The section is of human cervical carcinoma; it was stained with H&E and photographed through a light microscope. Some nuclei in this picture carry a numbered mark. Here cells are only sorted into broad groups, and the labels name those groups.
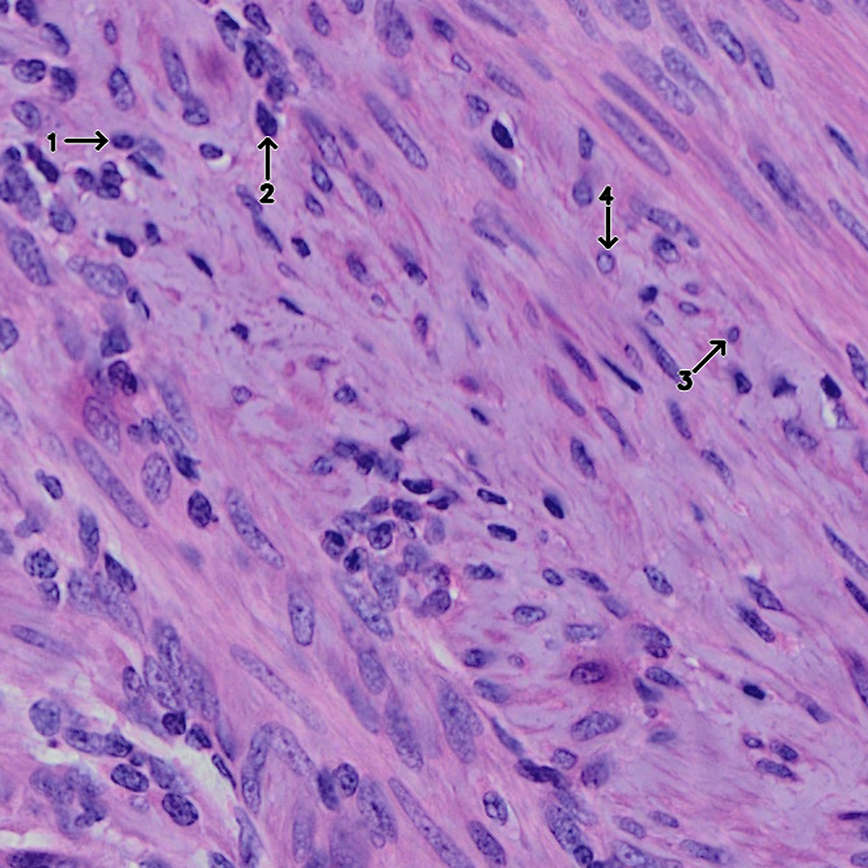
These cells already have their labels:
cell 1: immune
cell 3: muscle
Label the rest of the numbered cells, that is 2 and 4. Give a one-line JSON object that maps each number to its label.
{"2": "immune", "4": "muscle"}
